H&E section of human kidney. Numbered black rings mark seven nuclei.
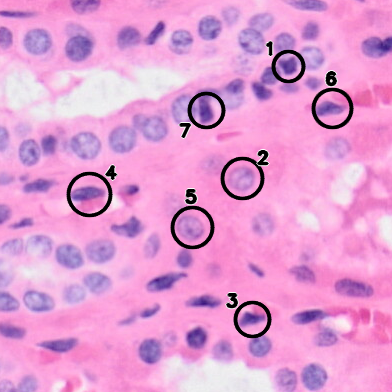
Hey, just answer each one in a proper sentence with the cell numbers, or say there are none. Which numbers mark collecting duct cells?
The cells which carry the numbers 1 and 7 are collecting duct cells.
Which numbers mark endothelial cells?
By cell type, the cells numbered 3, 4 and 6 are endothelial cells.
